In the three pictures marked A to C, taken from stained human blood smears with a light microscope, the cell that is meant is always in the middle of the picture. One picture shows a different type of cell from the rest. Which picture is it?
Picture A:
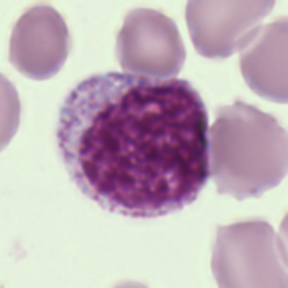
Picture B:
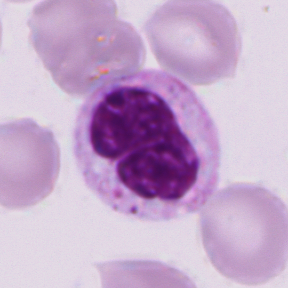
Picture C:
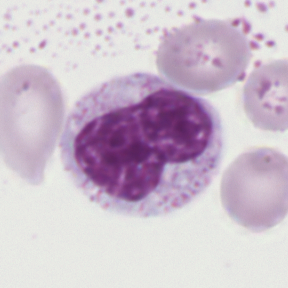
B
